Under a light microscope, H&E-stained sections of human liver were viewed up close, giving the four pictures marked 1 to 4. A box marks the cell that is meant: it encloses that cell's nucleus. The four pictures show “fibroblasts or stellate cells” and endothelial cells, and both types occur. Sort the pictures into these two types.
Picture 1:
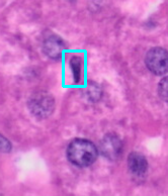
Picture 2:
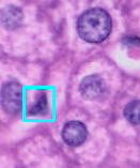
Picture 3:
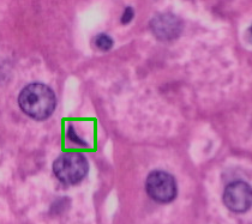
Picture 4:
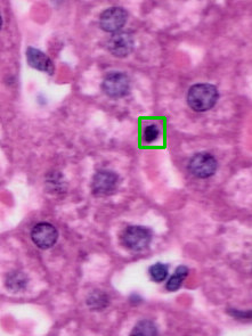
1: endothelial cell
2: endothelial cell
3: endothelial cell
4: fibroblast or stellate cell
